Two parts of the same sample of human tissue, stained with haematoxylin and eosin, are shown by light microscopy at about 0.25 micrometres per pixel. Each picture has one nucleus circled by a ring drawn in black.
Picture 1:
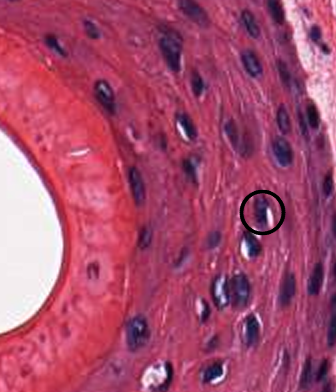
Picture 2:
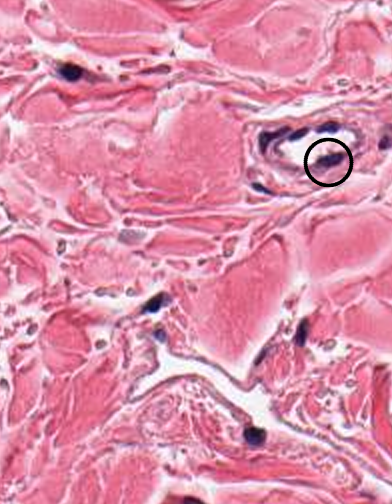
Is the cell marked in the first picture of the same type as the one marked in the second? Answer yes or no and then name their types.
No, the first is a keratinocyte and the second an endothelial cell.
